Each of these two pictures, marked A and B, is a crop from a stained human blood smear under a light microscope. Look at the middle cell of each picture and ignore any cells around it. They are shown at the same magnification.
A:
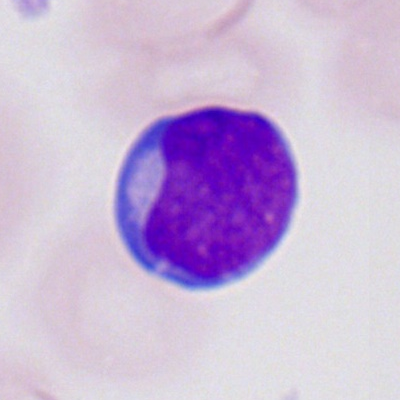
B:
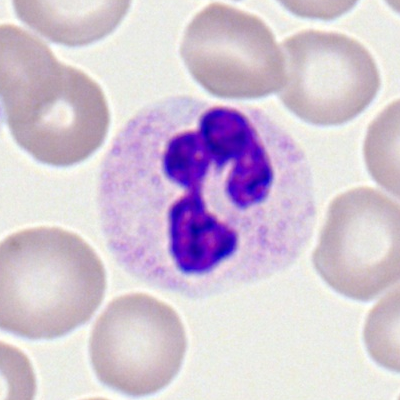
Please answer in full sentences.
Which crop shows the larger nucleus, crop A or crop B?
Crop A shows the larger nucleus; it covers about 2 times the area of the nucleus in crop B.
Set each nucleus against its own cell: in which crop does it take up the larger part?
In crop A the nucleus takes up the larger part of its cell.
